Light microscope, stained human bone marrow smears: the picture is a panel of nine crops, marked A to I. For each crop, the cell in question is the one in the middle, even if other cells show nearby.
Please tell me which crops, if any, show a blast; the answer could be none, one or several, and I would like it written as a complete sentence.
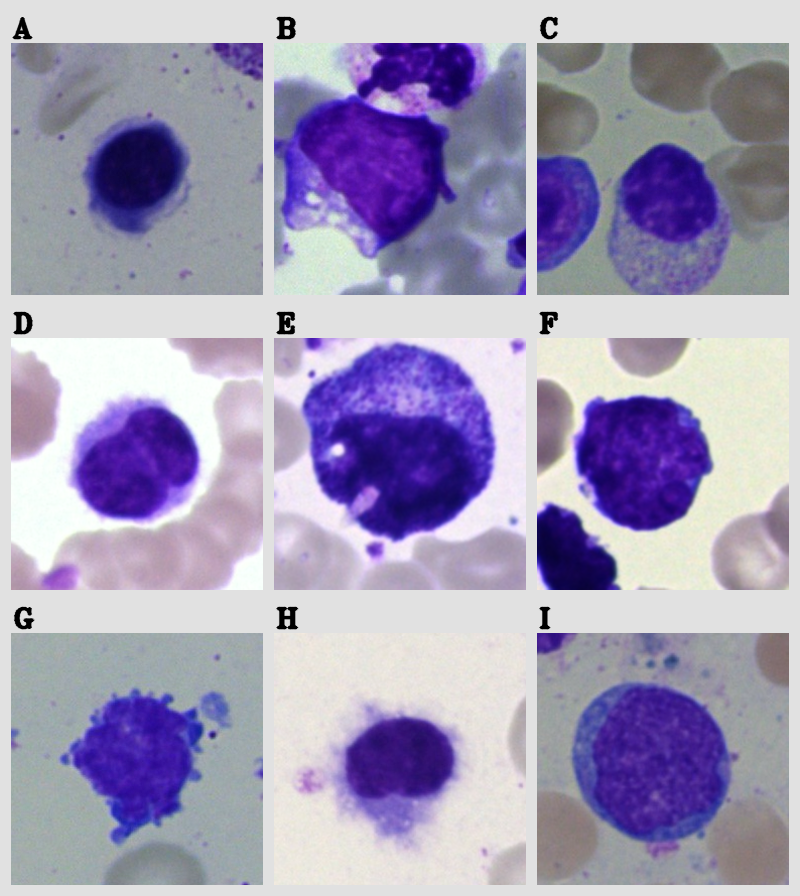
The crops in this set showing blasts are B, F, G and I.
